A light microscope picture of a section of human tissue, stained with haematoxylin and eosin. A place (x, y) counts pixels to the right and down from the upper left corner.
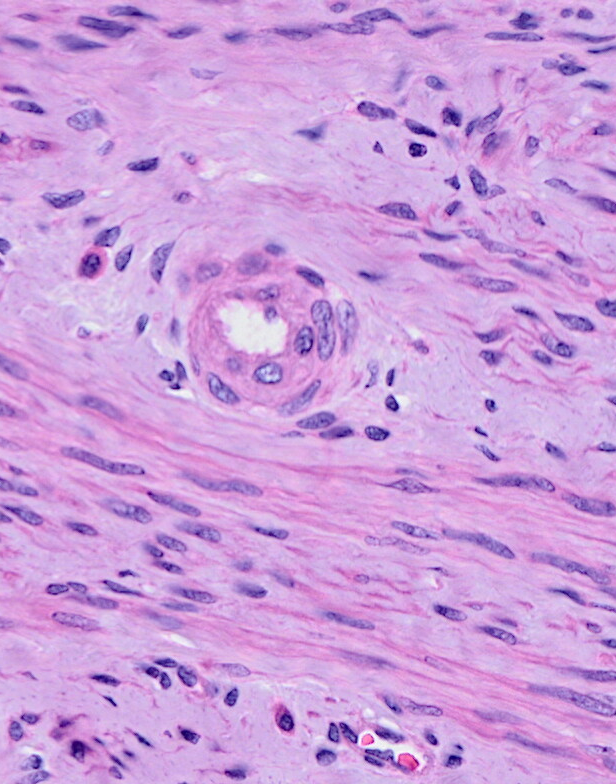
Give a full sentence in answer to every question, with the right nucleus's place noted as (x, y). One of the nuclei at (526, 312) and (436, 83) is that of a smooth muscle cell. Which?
The nucleus at (526, 312) is the one of the two that belongs to a smooth muscle cell.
